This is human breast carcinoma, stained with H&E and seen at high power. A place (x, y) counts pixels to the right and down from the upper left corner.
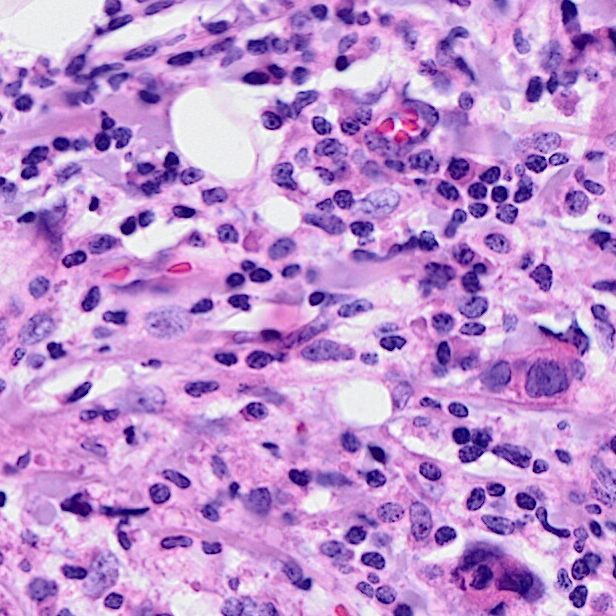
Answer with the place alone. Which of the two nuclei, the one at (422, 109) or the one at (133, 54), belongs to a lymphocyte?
(133, 54)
